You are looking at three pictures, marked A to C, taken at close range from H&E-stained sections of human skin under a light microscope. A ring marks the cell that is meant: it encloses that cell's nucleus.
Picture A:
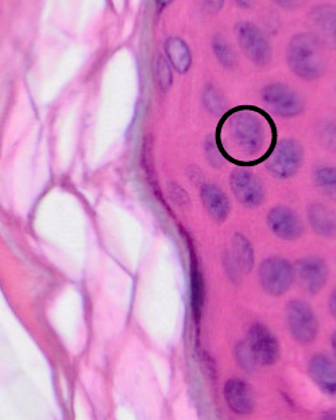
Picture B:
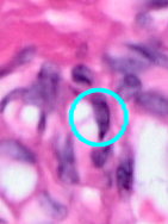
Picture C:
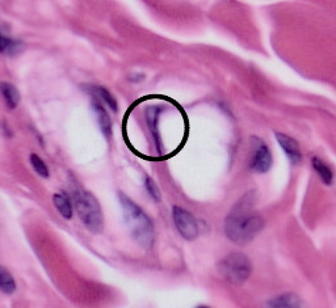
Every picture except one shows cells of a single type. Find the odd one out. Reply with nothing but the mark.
A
